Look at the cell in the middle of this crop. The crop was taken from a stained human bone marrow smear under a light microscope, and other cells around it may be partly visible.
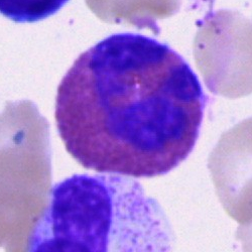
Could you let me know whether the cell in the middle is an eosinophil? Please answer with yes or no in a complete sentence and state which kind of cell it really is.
Yes, it is an eosinophil that occupies the centre of the crop.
